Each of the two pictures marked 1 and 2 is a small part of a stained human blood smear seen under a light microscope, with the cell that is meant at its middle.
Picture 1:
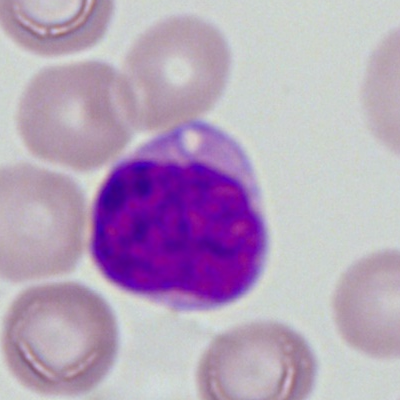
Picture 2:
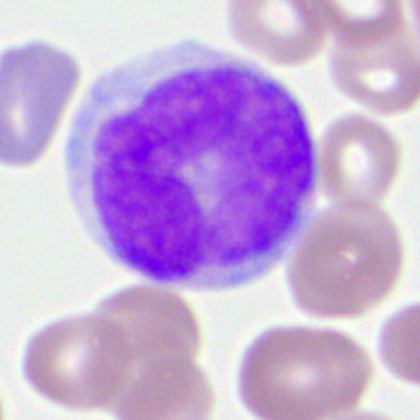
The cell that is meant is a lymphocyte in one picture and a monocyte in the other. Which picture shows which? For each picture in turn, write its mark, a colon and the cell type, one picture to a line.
1: lymphocyte
2: monocyte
